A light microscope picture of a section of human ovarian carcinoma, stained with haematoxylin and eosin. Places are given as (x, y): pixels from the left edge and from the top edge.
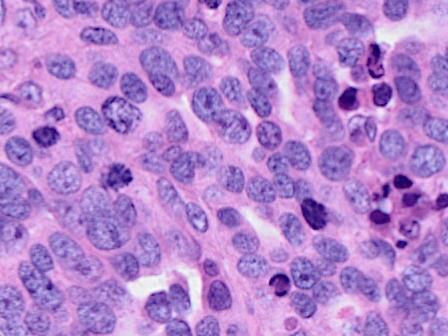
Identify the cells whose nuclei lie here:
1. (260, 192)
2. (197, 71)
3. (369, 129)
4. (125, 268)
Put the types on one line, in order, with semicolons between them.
carcinoma cell; carcinoma cell; macrophage or monocyte; carcinoma cell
